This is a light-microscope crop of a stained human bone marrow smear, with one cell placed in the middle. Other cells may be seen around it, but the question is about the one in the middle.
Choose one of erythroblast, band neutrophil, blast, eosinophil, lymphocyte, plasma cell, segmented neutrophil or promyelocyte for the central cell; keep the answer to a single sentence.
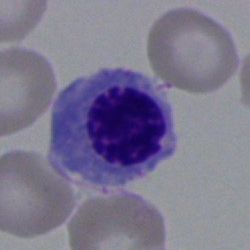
What sits at the centre of this crop is an erythroblast.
